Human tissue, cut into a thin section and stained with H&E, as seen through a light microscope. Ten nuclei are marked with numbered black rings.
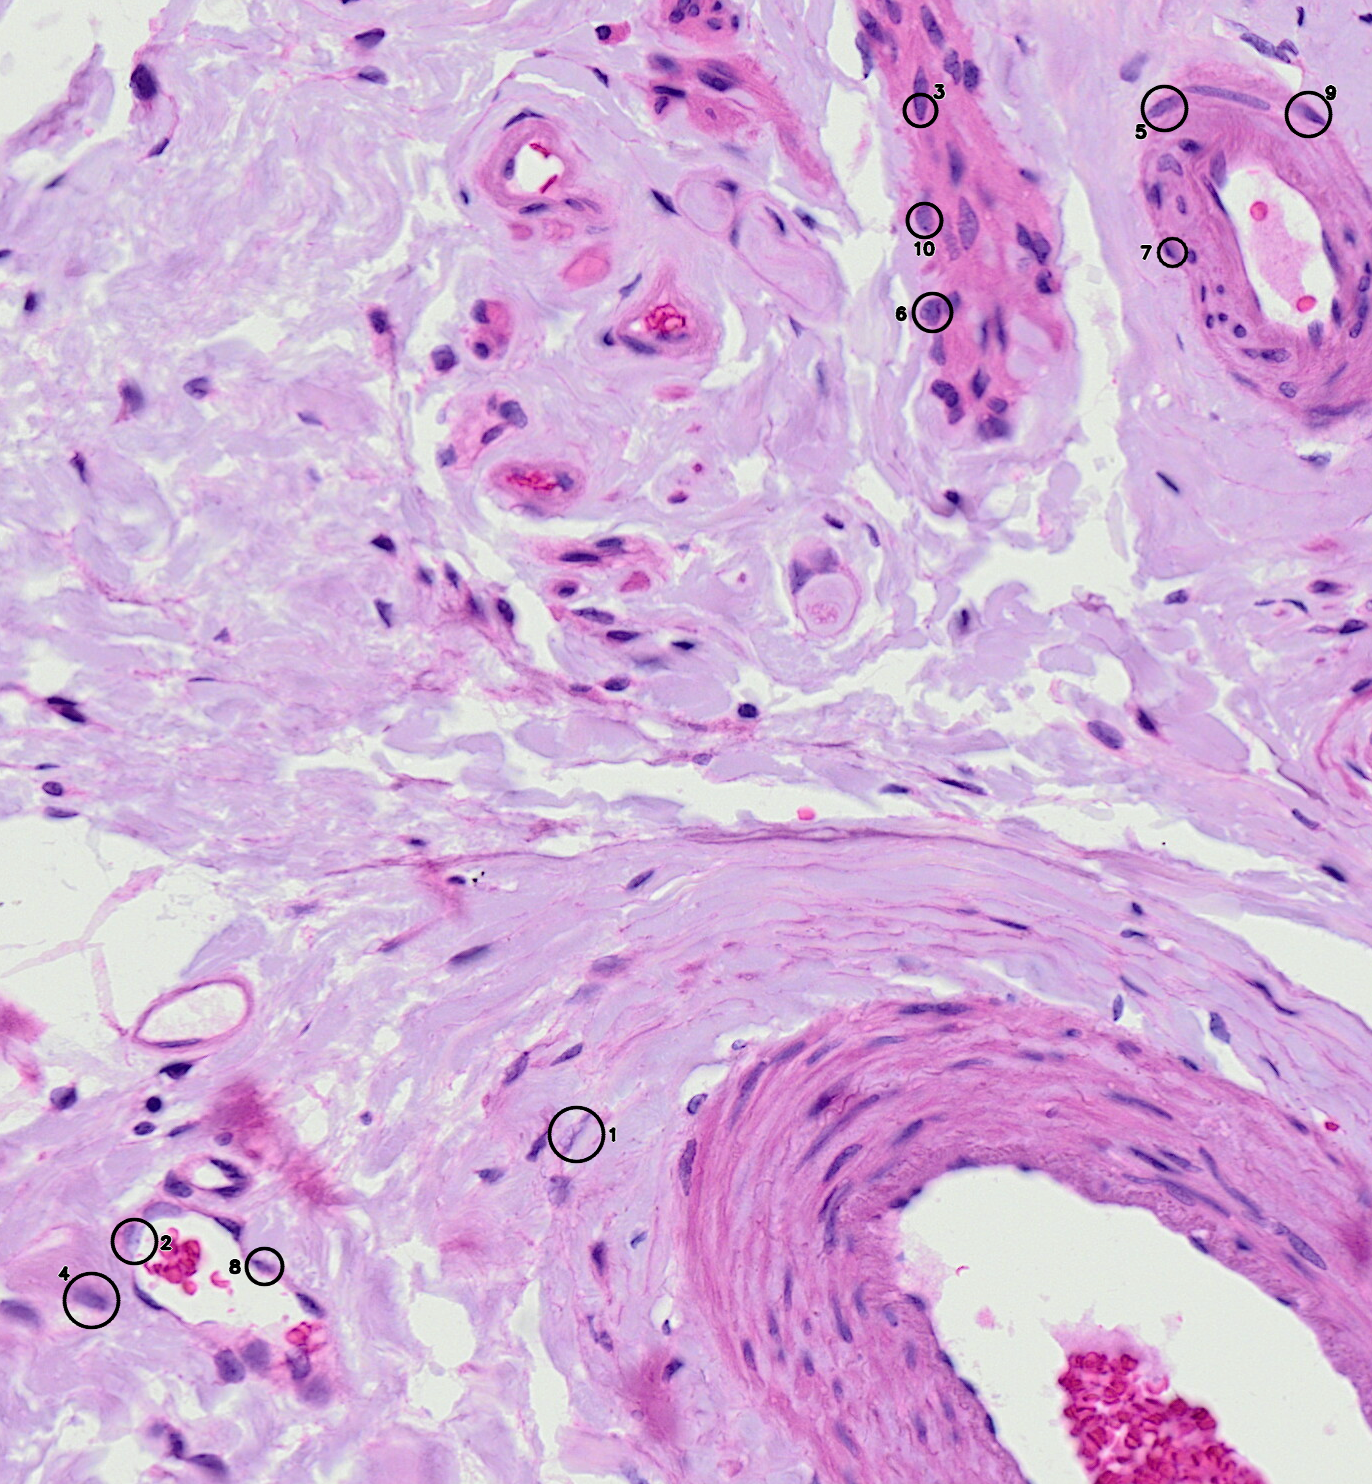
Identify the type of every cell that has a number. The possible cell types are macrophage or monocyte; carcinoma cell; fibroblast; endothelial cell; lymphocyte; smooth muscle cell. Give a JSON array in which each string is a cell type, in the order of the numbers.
["fibroblast", "endothelial cell", "smooth muscle cell", "endothelial cell", "smooth muscle cell", "smooth muscle cell", "smooth muscle cell", "endothelial cell", "smooth muscle cell", "smooth muscle cell"]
